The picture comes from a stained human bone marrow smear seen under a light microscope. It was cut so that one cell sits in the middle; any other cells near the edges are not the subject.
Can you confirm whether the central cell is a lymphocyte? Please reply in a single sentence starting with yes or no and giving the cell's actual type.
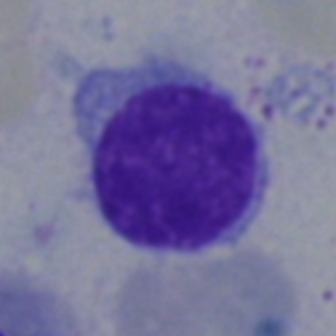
Yes, the cell lying in the middle is a lymphocyte.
